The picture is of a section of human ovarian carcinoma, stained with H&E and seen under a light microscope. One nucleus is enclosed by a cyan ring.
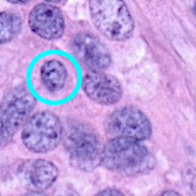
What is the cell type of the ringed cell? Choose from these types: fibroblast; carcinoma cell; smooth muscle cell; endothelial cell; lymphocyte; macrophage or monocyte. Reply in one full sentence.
Recorded by type, the ringed cell is a macrophage or monocyte.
